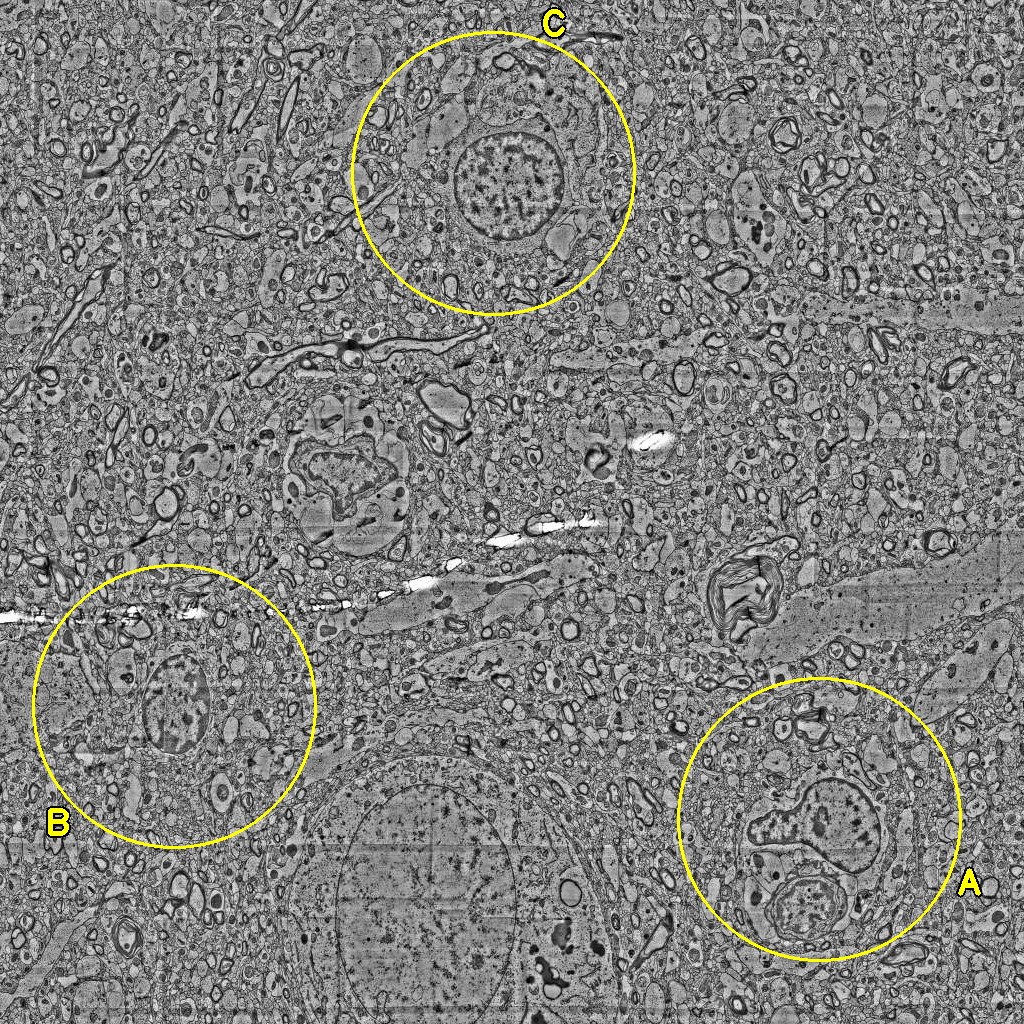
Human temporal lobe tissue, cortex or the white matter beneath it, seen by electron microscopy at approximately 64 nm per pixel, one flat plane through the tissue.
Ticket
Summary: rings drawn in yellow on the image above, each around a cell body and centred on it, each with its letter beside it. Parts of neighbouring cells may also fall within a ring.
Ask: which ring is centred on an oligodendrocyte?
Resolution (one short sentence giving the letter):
The ring marked C is centred on it.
